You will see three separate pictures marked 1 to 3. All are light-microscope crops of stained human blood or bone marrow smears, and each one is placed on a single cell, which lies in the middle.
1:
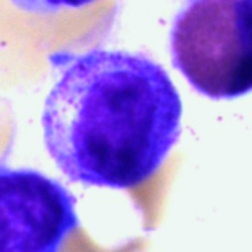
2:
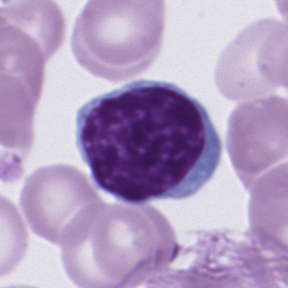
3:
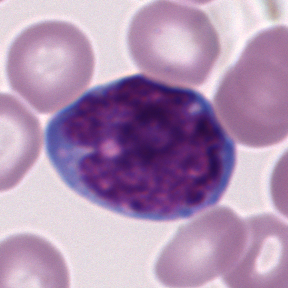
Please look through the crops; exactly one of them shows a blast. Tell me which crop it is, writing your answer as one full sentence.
Of the labeled crops, the one with a blast is crop 3.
